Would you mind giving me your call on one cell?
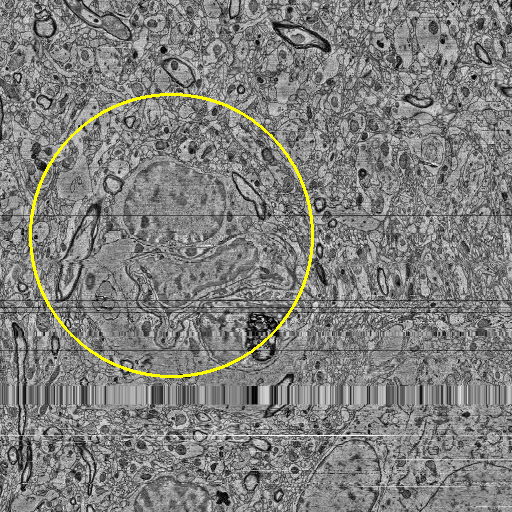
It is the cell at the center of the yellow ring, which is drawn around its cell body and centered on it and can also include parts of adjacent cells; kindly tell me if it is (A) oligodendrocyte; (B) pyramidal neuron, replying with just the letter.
A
